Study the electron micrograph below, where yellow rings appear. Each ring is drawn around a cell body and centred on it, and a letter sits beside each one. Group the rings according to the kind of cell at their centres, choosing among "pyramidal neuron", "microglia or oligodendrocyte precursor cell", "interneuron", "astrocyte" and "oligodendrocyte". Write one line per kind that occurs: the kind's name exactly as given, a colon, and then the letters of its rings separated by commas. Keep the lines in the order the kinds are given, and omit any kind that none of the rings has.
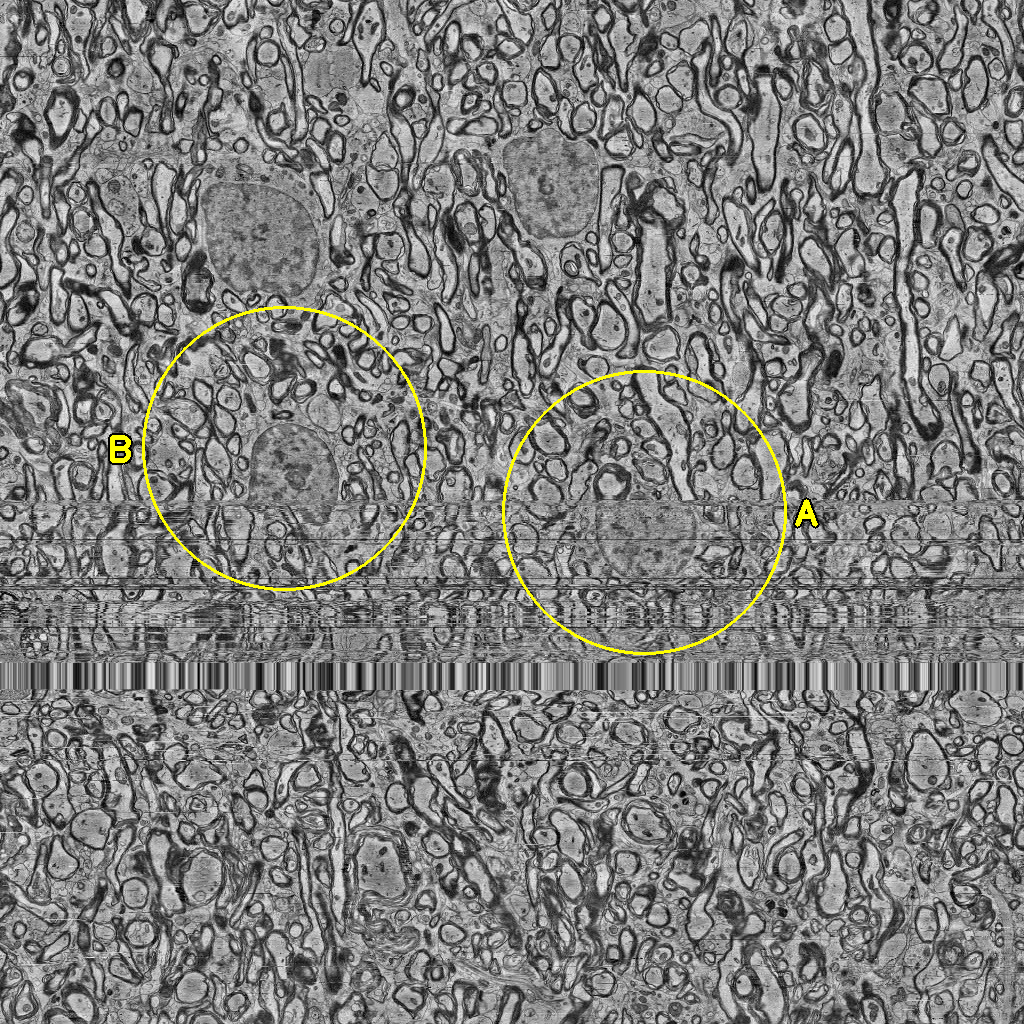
microglia or oligodendrocyte precursor cell: B
oligodendrocyte: A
